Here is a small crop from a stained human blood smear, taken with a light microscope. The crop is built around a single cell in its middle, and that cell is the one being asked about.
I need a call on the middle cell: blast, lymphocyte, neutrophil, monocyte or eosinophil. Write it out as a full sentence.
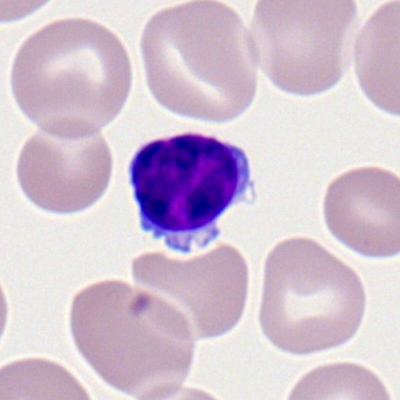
Regarding the central cell, it is a lymphocyte.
